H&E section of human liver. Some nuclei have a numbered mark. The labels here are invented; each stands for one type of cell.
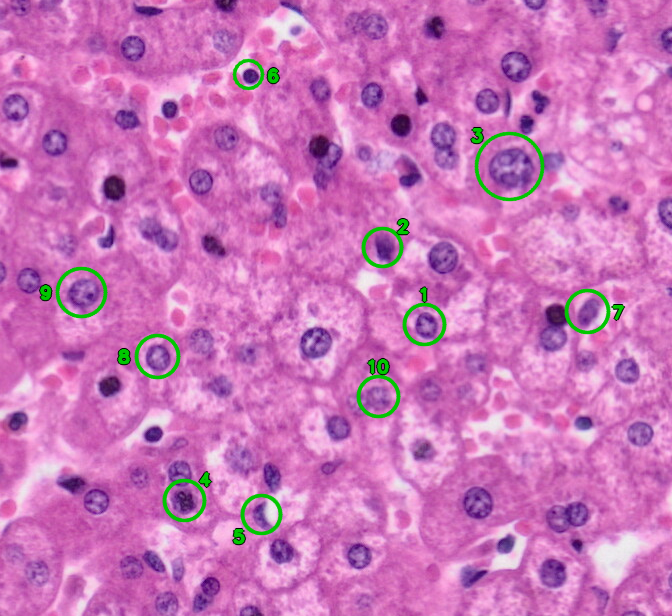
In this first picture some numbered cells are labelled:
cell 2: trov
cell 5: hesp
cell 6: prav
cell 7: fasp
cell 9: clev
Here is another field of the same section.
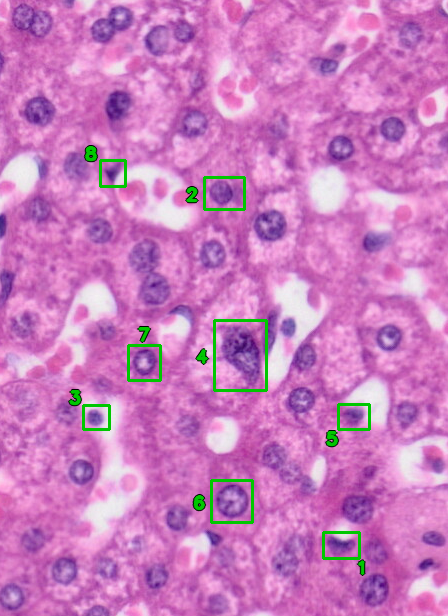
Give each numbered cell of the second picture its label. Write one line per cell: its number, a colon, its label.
1: hesp
2: clev
3: prav
4: clev
5: fasp
6: clev
7: clev
8: trov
